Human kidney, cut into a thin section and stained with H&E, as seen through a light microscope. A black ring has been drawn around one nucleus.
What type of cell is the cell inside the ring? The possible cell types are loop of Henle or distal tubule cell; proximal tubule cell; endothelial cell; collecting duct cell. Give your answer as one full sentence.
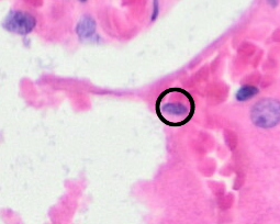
In the tissue at hand, the cell inside the ring is an endothelial cell.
